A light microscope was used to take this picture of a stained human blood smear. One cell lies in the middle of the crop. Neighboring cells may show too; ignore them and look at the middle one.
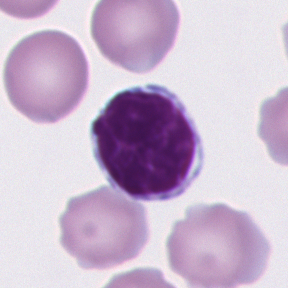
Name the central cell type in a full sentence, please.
Located at the centre of the crop is a typical lymphocyte.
